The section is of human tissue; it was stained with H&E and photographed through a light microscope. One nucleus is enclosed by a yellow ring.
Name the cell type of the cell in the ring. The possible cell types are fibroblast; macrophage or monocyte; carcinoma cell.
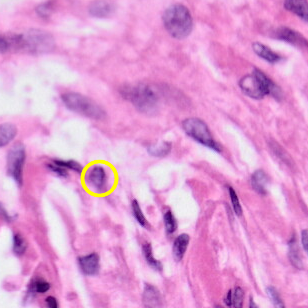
fibroblast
